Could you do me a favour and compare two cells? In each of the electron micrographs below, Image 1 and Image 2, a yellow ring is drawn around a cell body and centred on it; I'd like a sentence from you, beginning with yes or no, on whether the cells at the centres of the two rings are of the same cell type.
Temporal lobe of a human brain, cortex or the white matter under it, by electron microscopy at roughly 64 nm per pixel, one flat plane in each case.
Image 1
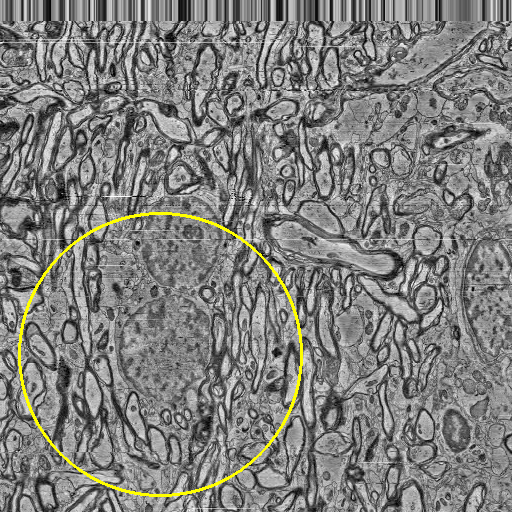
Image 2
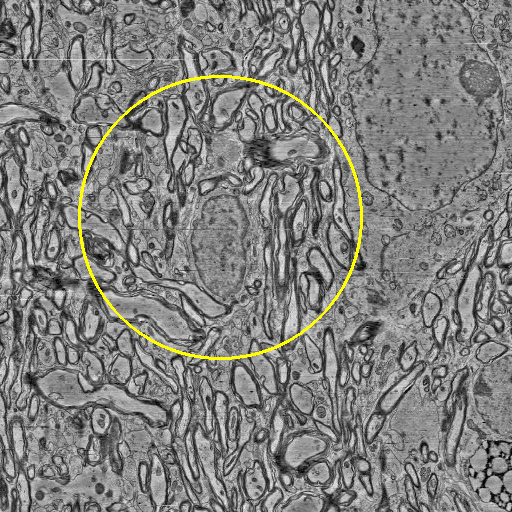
Yes, the two cells are of the same cell type.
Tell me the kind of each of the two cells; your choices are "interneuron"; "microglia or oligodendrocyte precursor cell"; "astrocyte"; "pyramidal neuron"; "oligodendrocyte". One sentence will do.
In the first picture and in the second, the ring is centred on an oligodendrocyte.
